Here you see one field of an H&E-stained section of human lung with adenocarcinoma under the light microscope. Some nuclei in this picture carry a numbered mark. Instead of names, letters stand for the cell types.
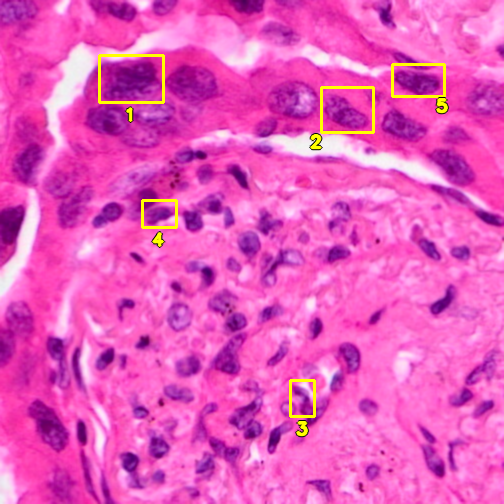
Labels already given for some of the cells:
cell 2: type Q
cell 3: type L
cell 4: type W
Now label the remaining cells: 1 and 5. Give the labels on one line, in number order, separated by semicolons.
type Q; type Q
